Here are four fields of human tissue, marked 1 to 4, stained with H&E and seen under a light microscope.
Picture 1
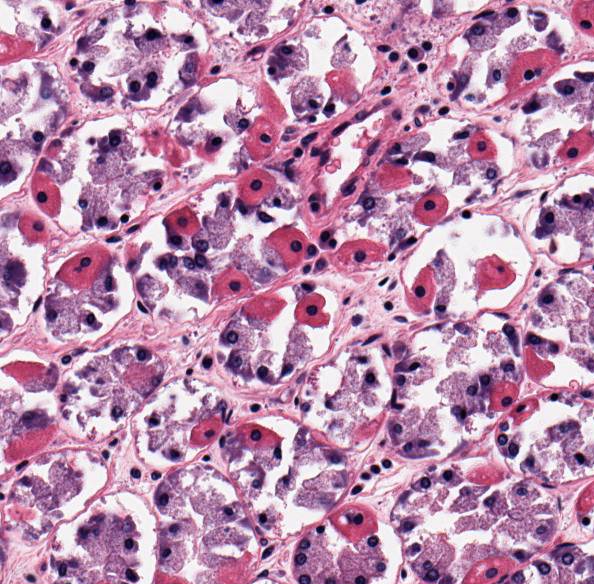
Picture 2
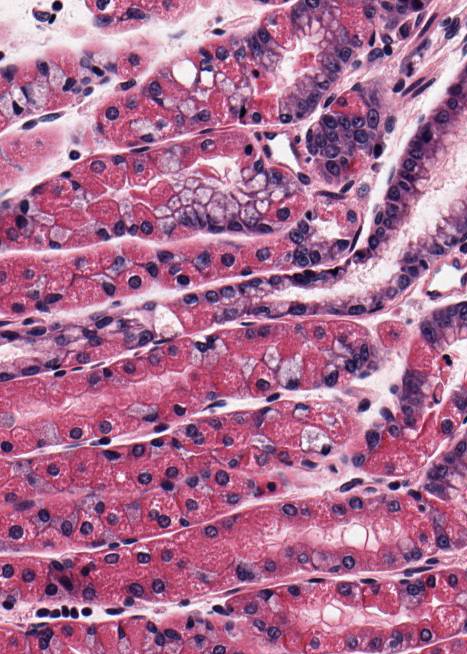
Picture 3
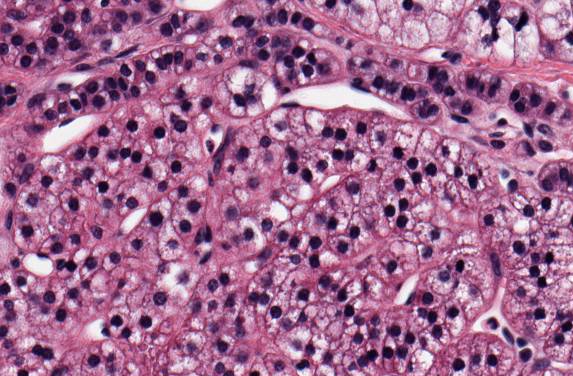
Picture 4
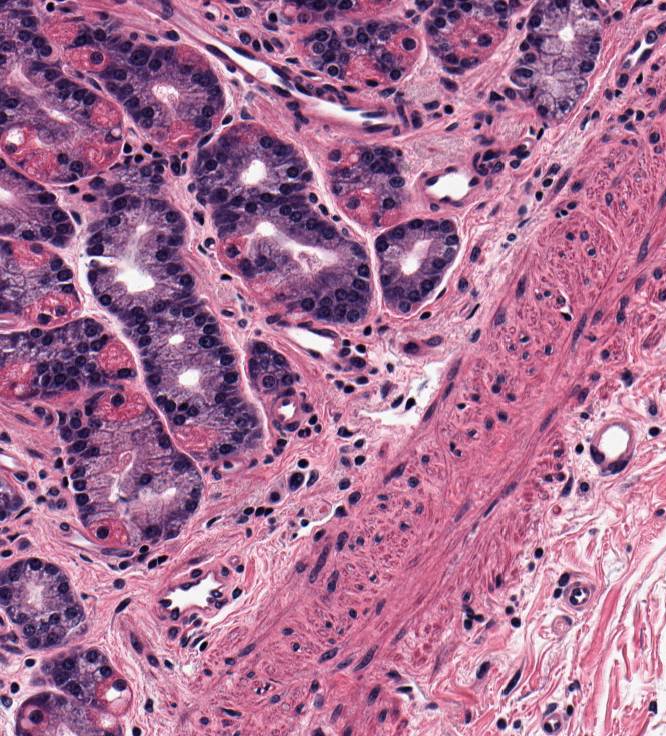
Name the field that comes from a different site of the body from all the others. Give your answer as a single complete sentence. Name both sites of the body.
Picture 3 is the odd one out: it comes from the adrenal gland, while the others come from the stomach.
